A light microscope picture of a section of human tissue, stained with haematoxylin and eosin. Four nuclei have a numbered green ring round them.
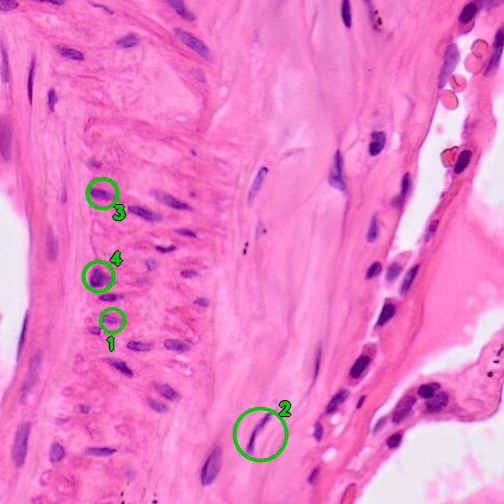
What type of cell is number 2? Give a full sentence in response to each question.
The cell assigned the number 2 is a fibroblast.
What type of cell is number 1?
The cell that bears the number 1 is a smooth muscle cell or pericyte.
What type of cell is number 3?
Cell 3 in the field is a smooth muscle cell or pericyte.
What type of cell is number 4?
To a smooth muscle cell or pericyte belongs the nucleus marked 4.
